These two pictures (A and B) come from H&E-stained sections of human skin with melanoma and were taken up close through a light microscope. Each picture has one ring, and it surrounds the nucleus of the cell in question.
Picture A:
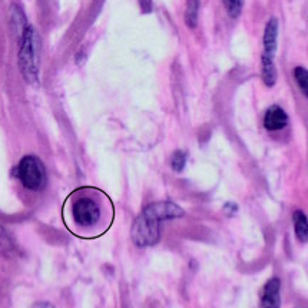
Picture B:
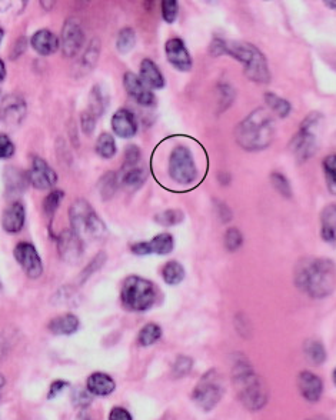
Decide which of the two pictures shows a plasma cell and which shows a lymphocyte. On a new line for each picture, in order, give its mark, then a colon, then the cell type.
A: plasma cell
B: lymphocyte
